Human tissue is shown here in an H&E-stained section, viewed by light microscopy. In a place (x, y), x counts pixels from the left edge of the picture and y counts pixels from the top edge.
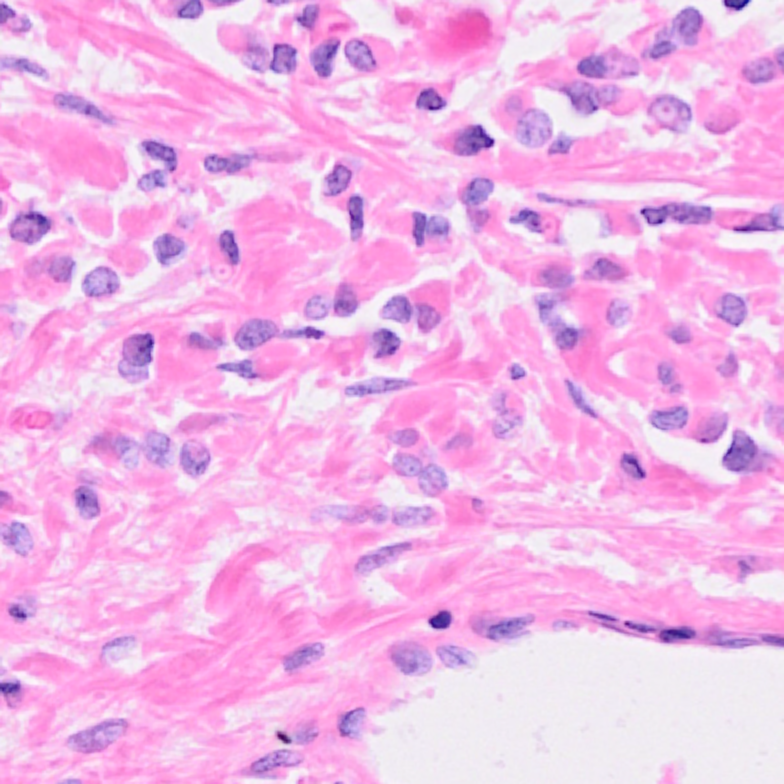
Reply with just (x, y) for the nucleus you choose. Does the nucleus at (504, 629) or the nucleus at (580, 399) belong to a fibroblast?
(580, 399)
